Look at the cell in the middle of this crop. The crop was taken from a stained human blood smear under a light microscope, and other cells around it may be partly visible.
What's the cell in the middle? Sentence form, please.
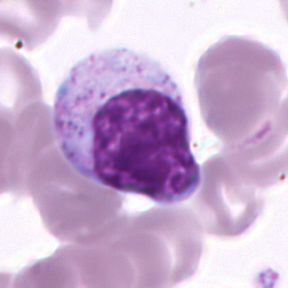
In the central position of this crop, the cell is a metamyelocyte.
